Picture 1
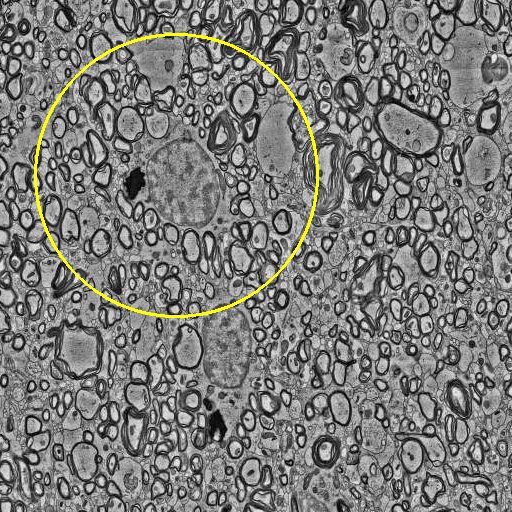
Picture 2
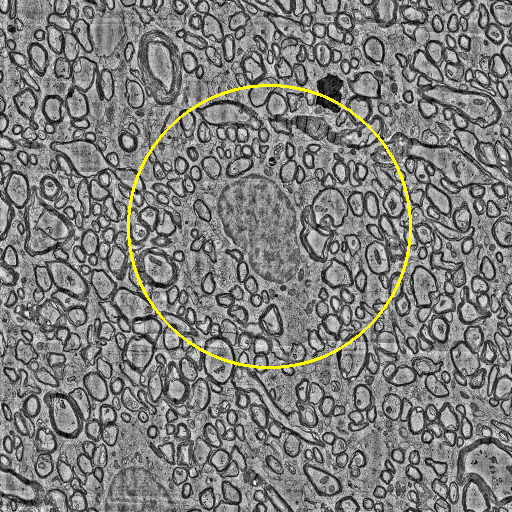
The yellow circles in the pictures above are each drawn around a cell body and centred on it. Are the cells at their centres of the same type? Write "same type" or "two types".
same type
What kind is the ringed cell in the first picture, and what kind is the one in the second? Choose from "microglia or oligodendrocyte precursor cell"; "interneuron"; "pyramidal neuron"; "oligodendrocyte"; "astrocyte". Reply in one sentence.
In both pictures the ring is centred on an oligodendrocyte.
